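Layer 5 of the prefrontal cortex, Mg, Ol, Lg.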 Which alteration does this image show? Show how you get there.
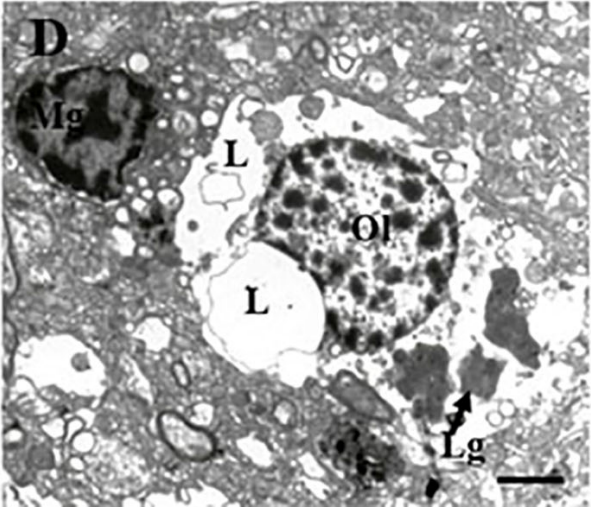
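Large empty clear spaces in the cytoplasm around the pale round nucleus. Many small vacuoles in the surrounding neuropil. Dense dark granular clumps beside the cell.
Answer: Dystrophic changes in microglia and oligodendrocytes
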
